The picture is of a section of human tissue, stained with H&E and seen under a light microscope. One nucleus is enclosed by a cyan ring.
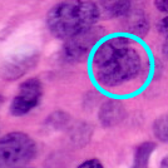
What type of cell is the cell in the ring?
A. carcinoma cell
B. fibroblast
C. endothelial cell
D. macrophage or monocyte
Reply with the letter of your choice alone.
A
